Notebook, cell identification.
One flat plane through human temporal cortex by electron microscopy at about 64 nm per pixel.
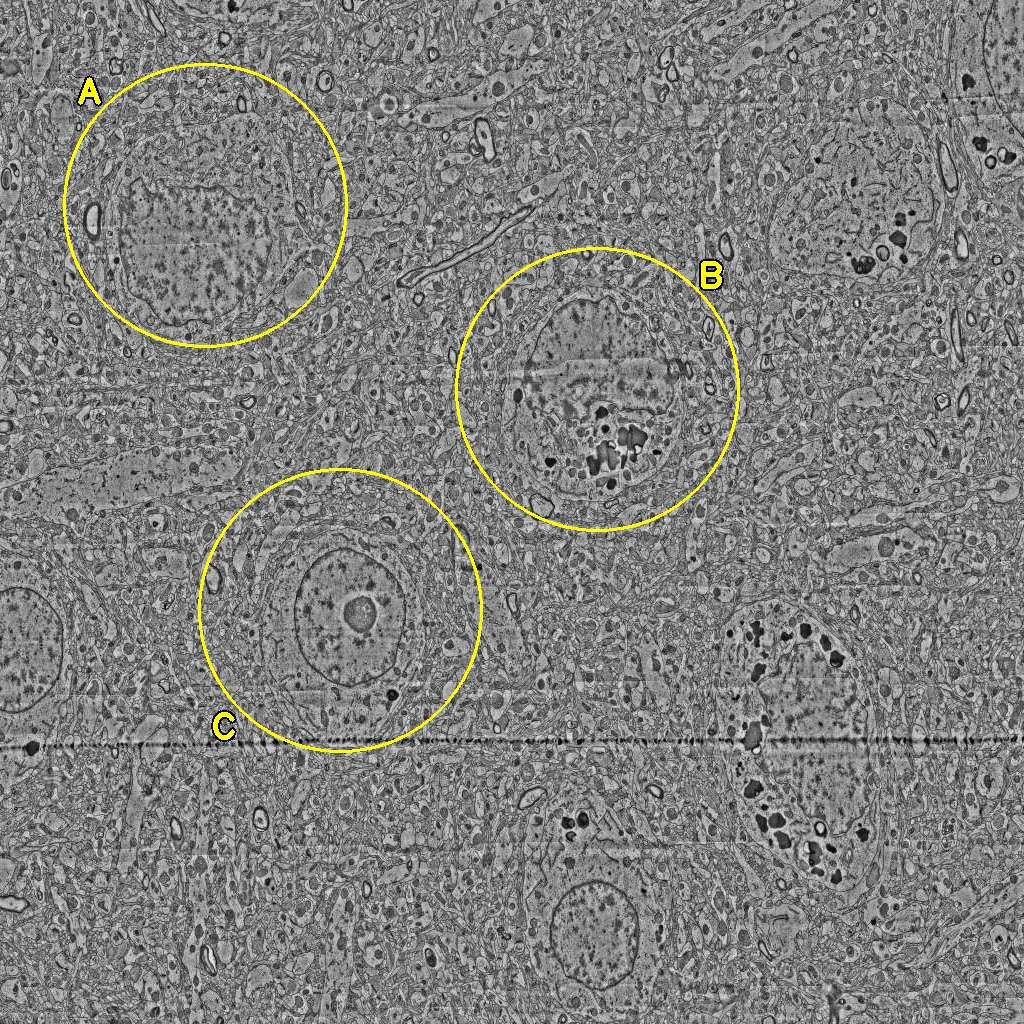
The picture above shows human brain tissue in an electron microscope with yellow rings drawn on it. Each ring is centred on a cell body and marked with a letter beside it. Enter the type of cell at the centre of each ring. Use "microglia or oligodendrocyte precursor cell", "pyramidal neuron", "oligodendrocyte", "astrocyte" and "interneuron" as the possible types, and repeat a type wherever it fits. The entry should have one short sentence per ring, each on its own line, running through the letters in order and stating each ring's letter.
The cell body in ring A belongs to an interneuron.
The cell body in ring B belongs to an interneuron.
The cell body in ring C belongs to a pyramidal neuron.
